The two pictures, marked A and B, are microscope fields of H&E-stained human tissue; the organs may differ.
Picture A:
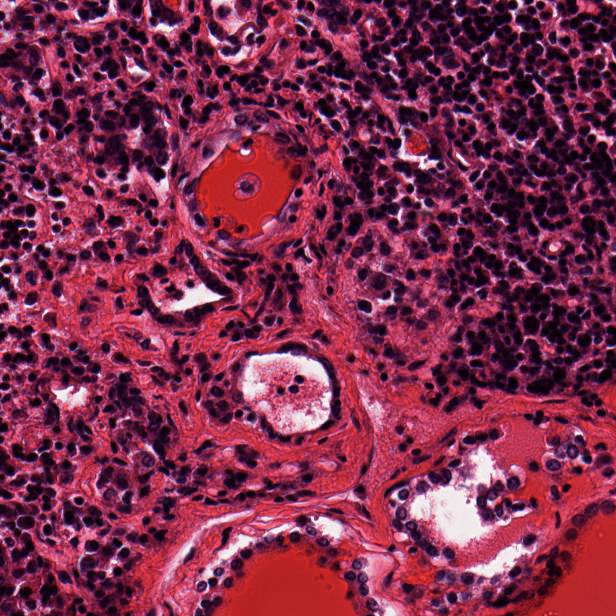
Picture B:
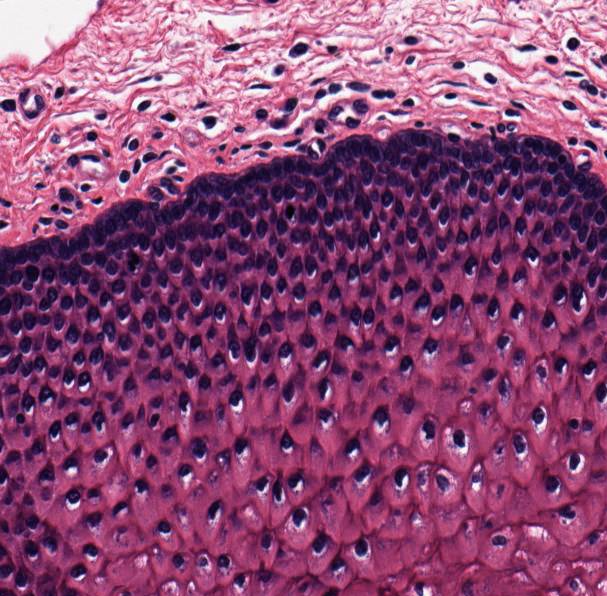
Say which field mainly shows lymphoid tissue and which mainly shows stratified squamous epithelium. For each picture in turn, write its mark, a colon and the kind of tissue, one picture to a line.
A: lymphoid tissue
B: stratified squamous epithelium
